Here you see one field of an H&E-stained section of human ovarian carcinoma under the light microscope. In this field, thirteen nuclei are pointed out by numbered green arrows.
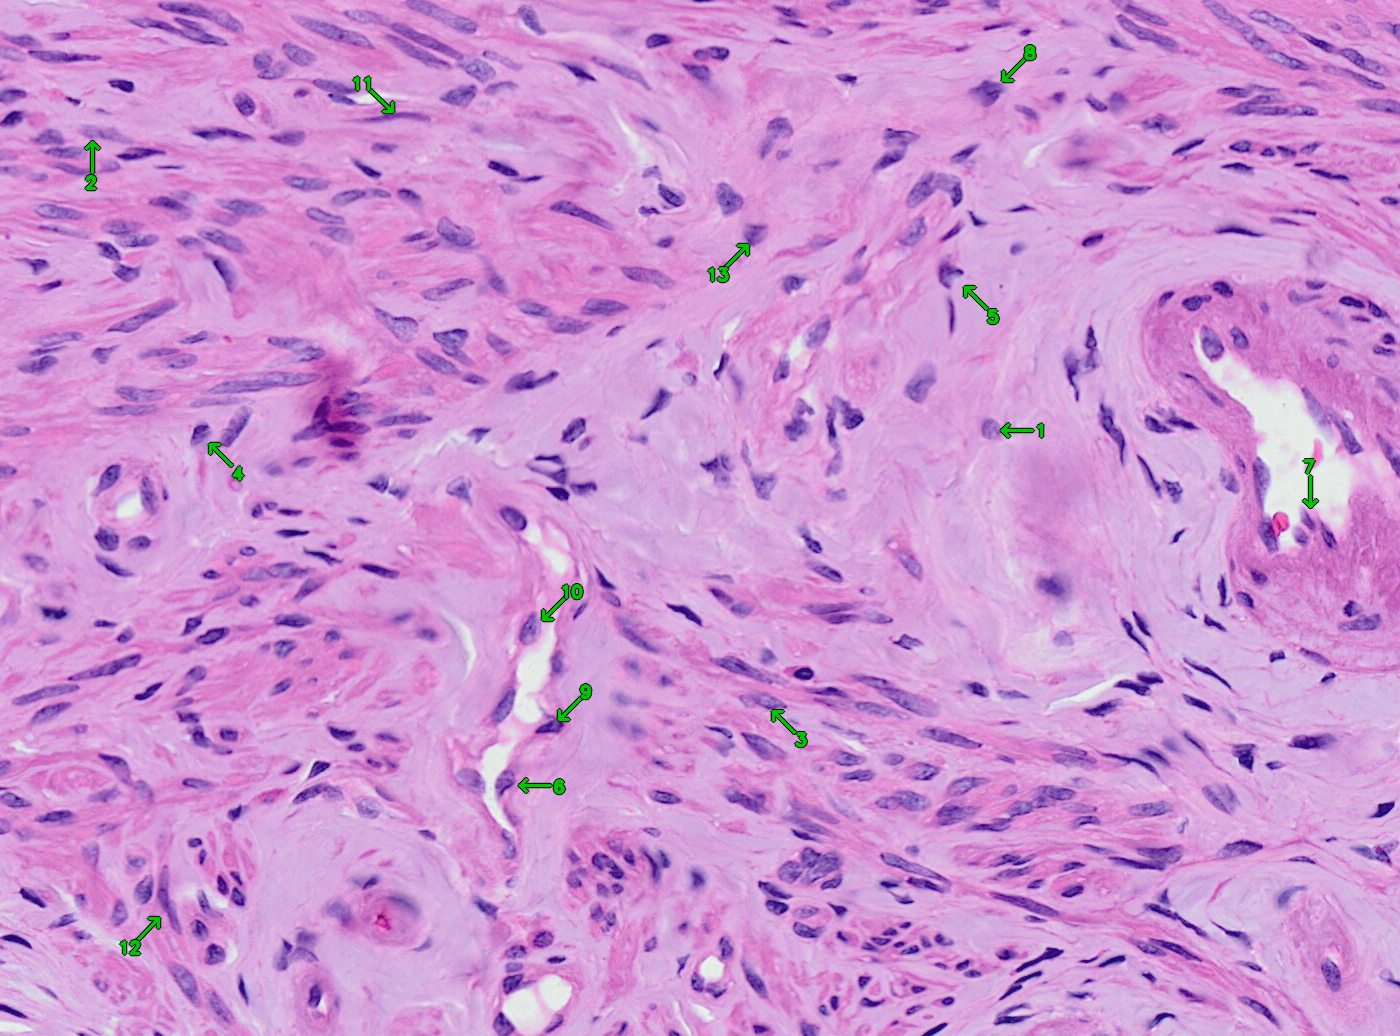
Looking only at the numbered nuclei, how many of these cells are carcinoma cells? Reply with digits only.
0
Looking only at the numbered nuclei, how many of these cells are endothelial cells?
4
